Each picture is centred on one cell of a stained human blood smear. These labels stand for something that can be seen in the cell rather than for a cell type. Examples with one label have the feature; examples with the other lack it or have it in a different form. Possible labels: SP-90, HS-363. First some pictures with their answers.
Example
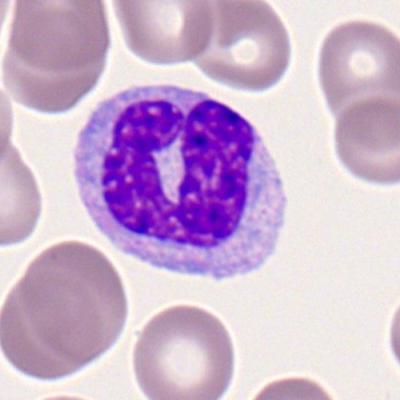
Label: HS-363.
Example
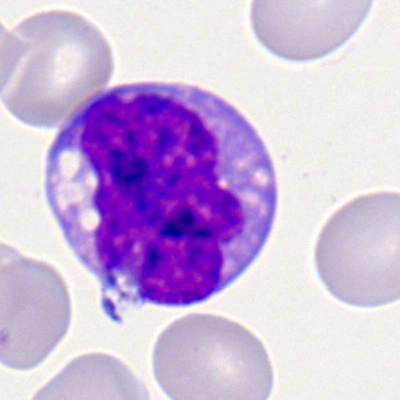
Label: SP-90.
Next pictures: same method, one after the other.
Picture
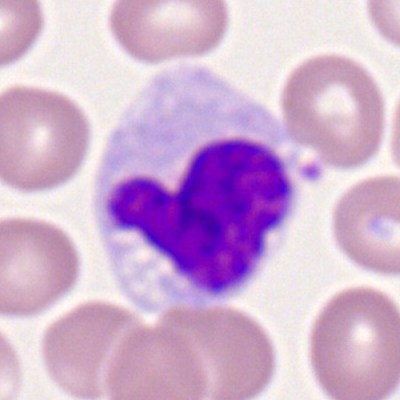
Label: SP-90.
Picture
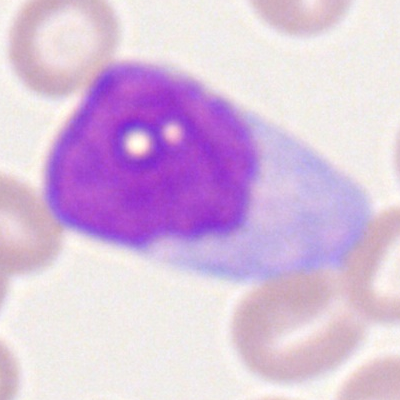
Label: HS-363.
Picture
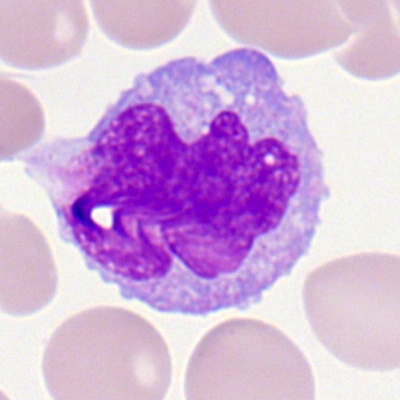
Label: SP-90.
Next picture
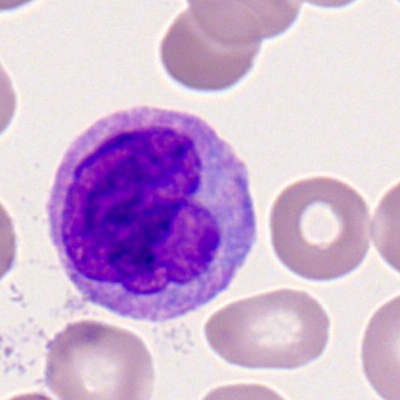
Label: HS-363.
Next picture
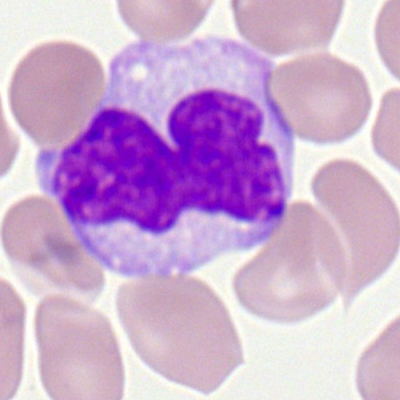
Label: SP-90.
